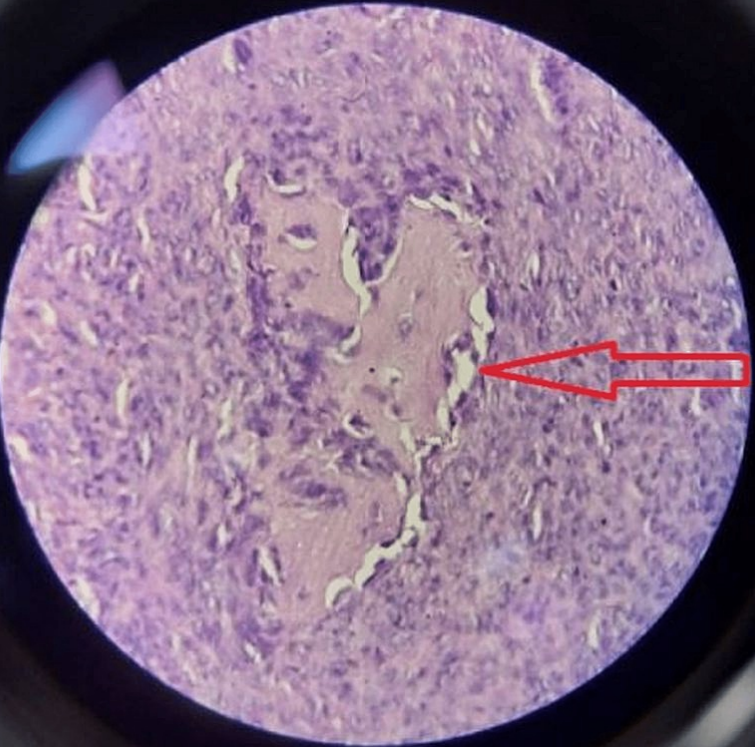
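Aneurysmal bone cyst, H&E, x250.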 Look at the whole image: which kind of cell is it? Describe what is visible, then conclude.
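Densely packed cells with small purple oval to spindle-shaped nuclei fill most of the field. The nuclei look fairly uniform in size, without obvious large bizarre forms.
Answer: bland stromal cells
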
